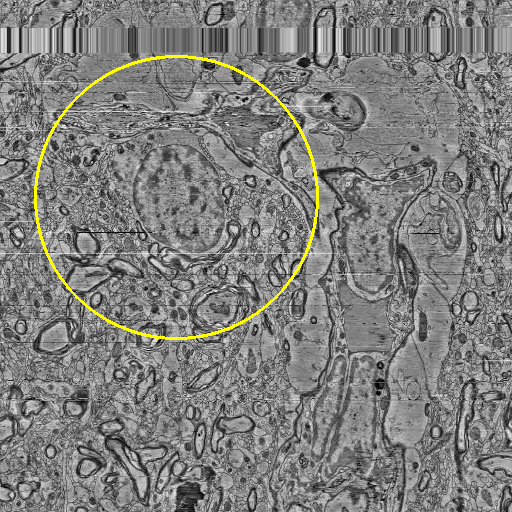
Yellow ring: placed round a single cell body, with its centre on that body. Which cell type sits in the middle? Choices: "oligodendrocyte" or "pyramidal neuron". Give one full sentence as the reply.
It is an oligodendrocyte whose cell body sits at the centre of the yellow ring.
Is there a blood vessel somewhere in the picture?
Yes, a blood vessel is present in this picture.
